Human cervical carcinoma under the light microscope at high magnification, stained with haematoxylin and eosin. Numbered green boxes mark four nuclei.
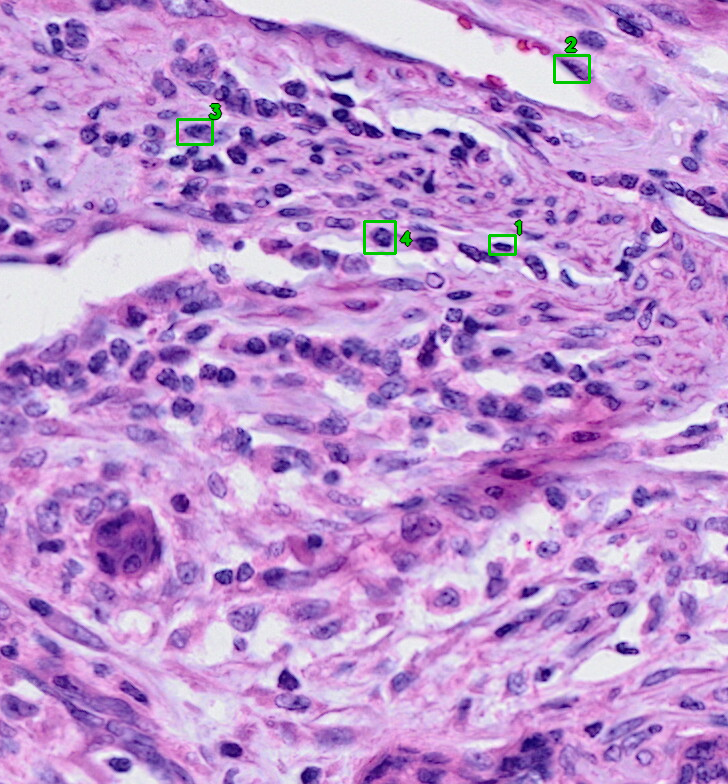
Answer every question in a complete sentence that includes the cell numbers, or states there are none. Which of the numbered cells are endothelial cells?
Among the cells marked with numbers, the only one that is an endothelial cell is number 2.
